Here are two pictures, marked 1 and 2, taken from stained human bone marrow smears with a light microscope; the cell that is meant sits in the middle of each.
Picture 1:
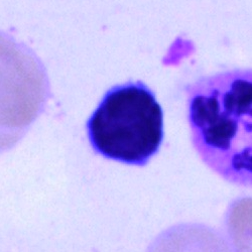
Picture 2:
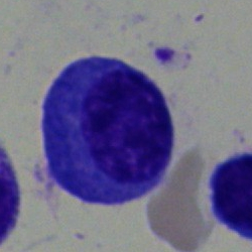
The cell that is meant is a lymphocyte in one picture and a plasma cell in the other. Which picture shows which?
1: lymphocyte
2: plasma cell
